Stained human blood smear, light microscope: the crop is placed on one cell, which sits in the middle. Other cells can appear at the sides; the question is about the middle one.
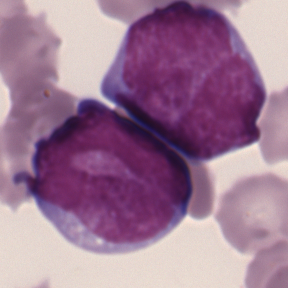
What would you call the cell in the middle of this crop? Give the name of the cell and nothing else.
myeloblast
